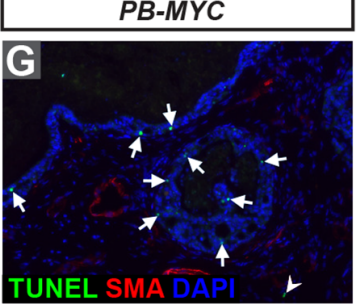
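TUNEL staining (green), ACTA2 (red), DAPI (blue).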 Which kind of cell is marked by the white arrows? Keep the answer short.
Epithelial cells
